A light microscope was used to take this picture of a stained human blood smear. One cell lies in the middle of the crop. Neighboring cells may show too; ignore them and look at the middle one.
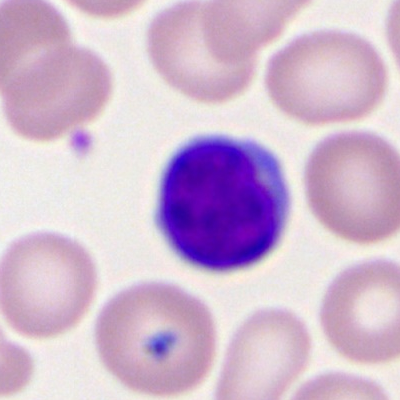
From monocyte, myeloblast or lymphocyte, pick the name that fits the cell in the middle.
lymphocyte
